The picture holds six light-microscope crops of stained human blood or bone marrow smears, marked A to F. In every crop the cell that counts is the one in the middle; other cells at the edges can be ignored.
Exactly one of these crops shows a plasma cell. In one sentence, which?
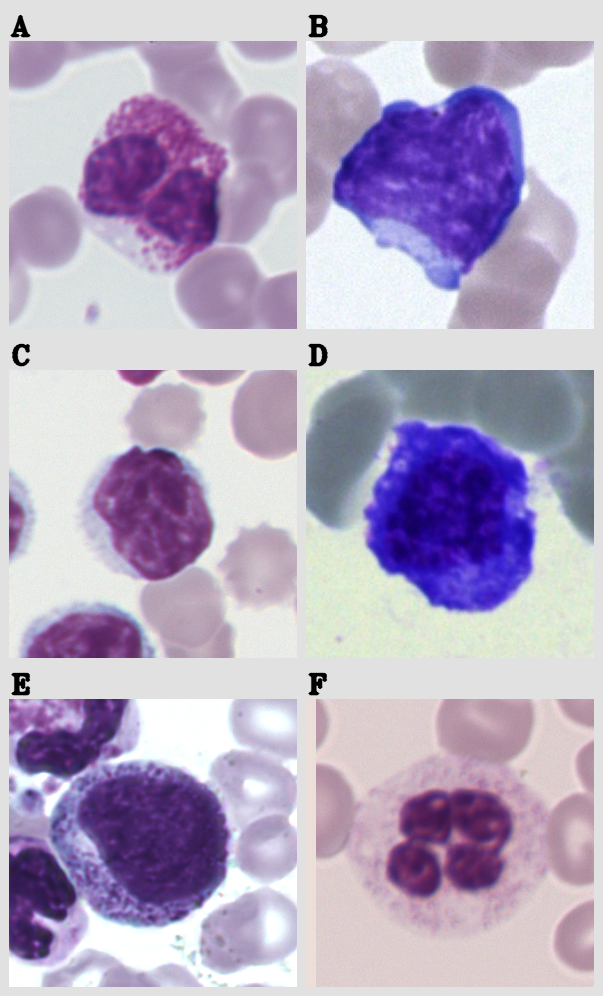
The one crop in the set with a plasma cell is crop D.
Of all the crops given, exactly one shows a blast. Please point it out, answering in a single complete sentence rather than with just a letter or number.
The crop bearing a blast is crop B.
